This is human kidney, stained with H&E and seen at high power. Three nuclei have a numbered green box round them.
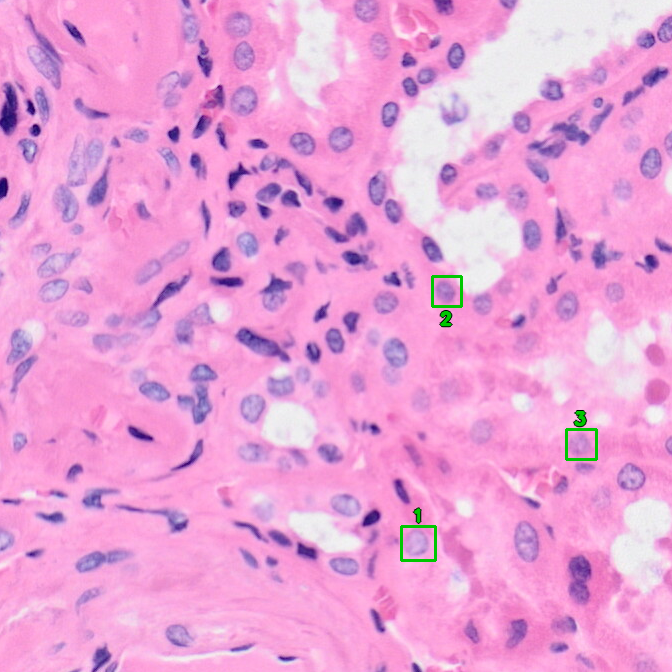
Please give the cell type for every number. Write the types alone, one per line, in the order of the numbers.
proximal tubule cell
loop of Henle or distal tubule cell
proximal tubule cell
